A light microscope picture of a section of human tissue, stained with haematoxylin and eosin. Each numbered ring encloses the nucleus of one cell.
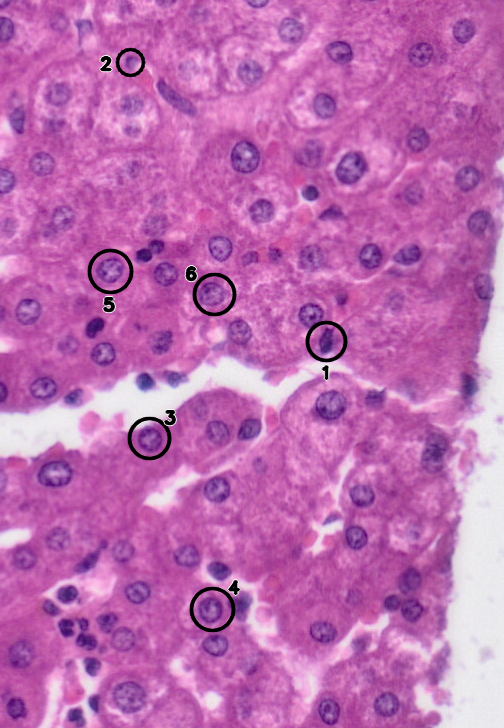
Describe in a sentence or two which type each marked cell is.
Cells 1 and 2 are fibroblasts or stellate cells. Cells 3, 4, 5 and 6 are hepatocytes.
